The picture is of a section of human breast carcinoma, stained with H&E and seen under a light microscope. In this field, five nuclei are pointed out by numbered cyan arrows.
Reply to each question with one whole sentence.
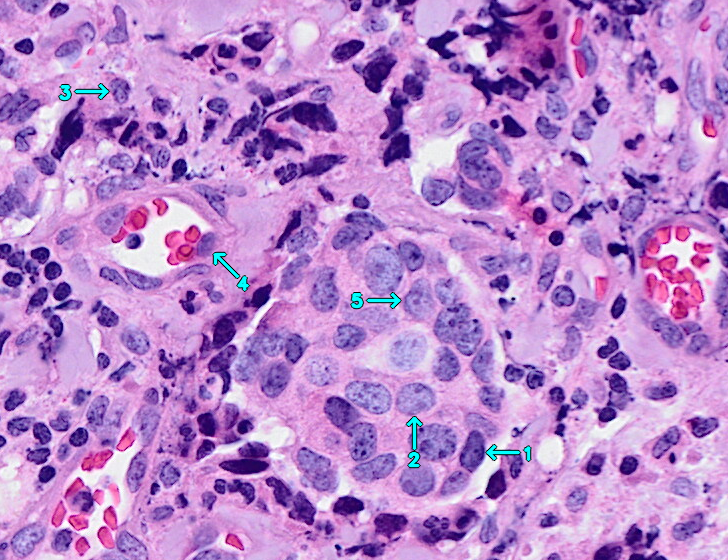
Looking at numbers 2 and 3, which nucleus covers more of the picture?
Nucleus 2 is larger, with an area about 2.5 times that of nucleus 3.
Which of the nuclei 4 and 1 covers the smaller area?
With nucleus 1 about 2 times its size, nucleus 4 is the smaller of the two.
